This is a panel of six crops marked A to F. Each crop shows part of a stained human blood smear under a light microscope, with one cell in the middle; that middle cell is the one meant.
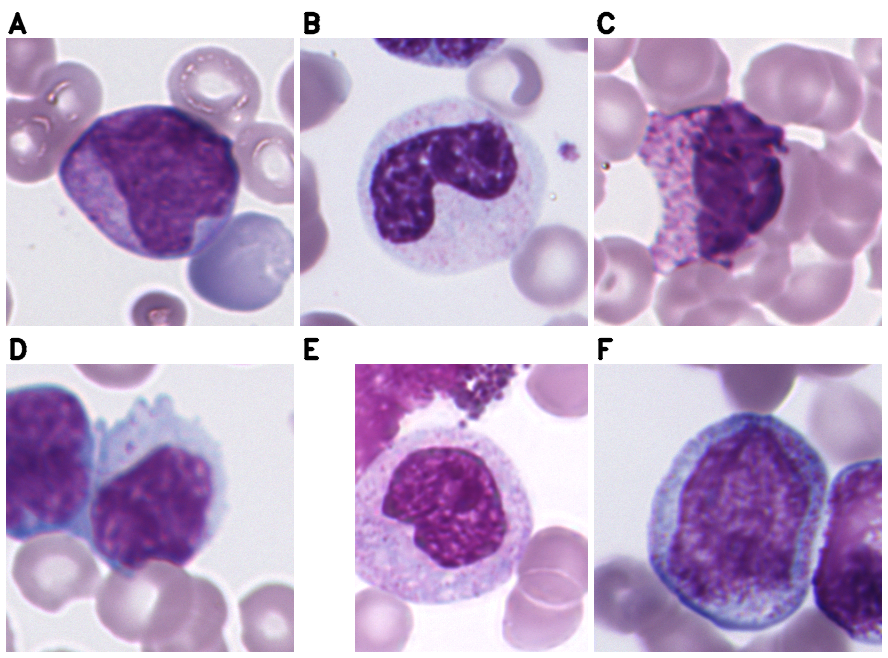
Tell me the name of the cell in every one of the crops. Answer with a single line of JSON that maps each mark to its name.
{"A": "atypical promyelocyte", "B": "band neutrophil", "C": "basophil", "D": "large granular lymphocyte", "E": "metamyelocyte", "F": "promyelocyte"}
